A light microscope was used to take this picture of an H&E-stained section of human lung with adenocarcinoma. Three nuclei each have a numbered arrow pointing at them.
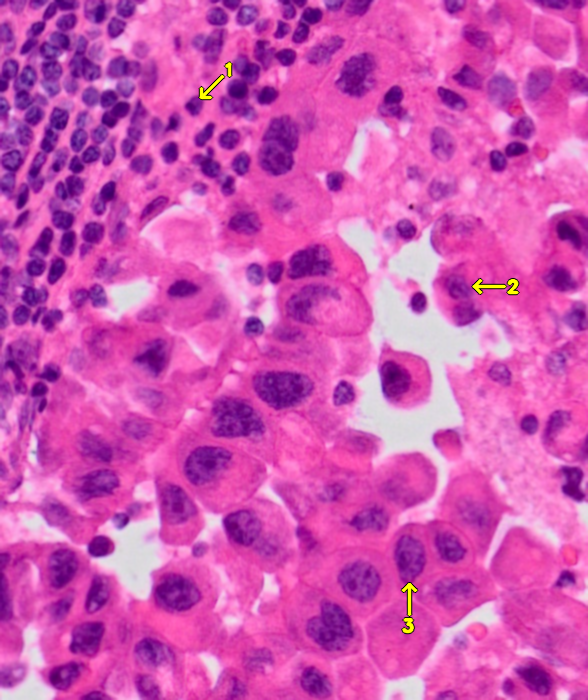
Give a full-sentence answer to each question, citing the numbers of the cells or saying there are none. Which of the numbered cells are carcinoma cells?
The cells with numbers 2 and 3 are carcinoma cells by type.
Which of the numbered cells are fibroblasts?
The count of fibroblasts among the numbered cells is zero.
